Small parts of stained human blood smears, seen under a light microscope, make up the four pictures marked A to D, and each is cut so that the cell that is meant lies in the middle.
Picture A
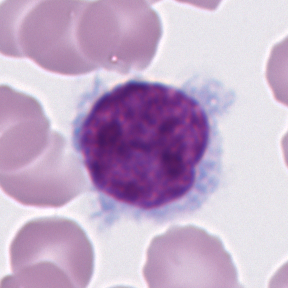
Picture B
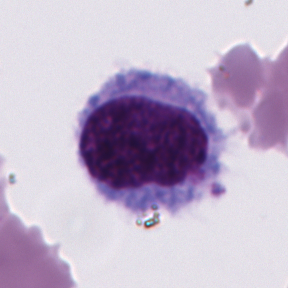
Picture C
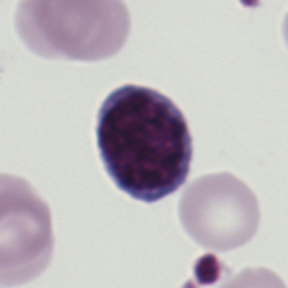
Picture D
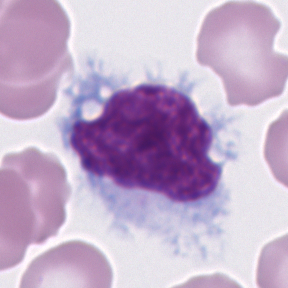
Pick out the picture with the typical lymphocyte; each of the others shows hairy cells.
C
